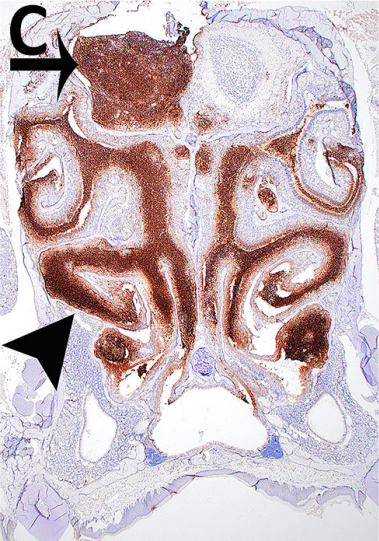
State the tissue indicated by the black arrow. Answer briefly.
Olfactory bulb.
